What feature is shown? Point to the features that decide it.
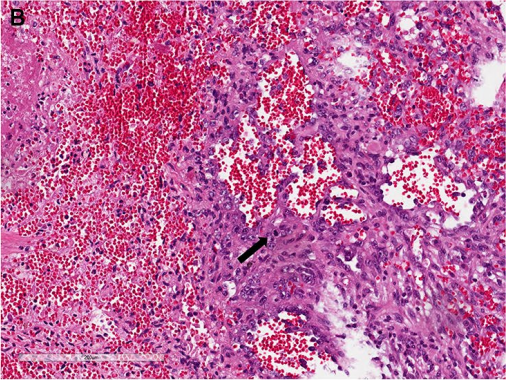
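Visible angiogenesis. Irregular spaces packed with red blood cells lie between strands of cells. Cells with dark nuclei form a meshwork around the blood-filled spaces.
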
